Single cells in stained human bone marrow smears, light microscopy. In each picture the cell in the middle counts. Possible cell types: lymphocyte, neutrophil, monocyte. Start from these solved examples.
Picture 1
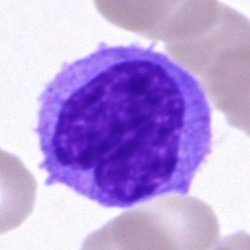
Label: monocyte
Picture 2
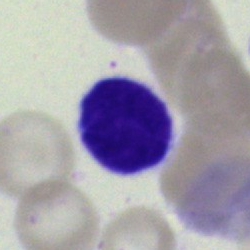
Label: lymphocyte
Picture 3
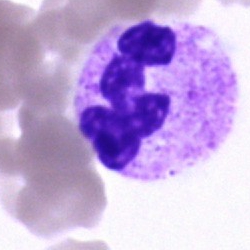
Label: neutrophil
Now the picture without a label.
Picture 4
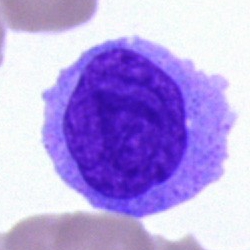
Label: monocyte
